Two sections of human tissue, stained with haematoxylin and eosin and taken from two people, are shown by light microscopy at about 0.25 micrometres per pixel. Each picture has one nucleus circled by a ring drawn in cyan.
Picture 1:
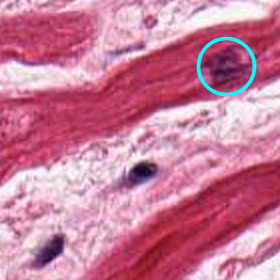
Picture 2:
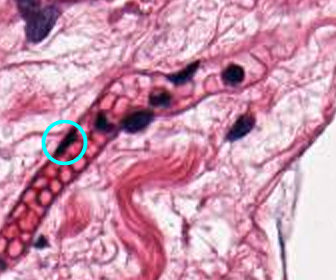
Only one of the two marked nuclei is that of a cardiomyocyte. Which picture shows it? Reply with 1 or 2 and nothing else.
1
